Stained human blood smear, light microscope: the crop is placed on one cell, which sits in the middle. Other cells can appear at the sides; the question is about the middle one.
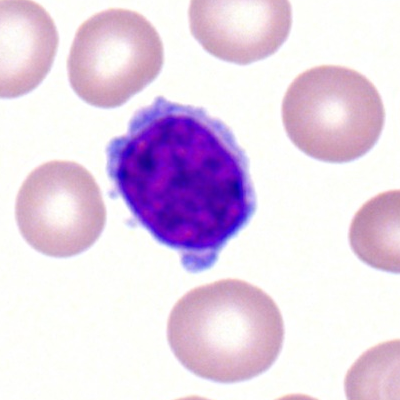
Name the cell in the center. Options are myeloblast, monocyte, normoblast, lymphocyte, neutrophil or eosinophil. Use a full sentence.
The target cell in the middle of the crop is a lymphocyte.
